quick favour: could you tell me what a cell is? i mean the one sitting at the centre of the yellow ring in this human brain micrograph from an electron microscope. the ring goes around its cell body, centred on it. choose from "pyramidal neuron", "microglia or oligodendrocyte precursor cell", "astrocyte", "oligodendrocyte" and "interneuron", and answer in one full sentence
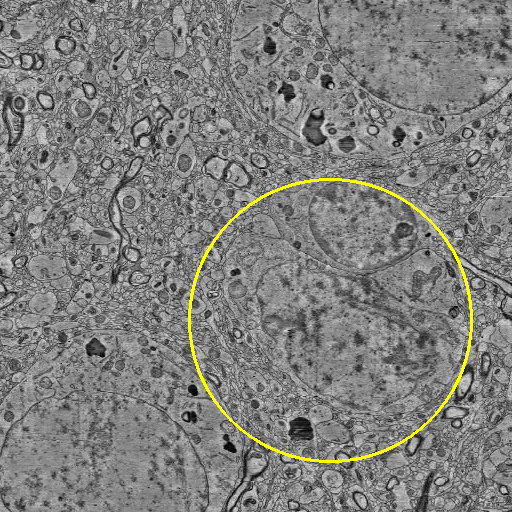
That's an interneuron, the cell sitting at the centre of the yellow ring.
